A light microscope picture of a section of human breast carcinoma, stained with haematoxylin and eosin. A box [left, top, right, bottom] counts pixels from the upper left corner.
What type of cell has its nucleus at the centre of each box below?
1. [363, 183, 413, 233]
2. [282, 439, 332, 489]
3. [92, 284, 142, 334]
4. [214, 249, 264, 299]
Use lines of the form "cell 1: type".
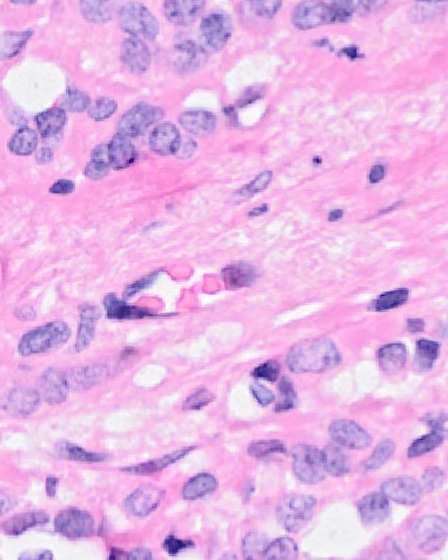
cell 1: fibroblast
cell 2: carcinoma cell
cell 3: endothelial cell
cell 4: endothelial cell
